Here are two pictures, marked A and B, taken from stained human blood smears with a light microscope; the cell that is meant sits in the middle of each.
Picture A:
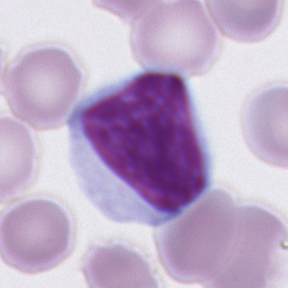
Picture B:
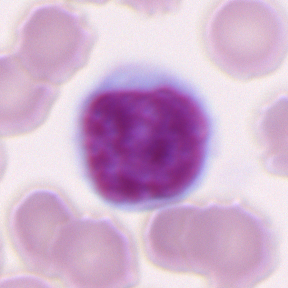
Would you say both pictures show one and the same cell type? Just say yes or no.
yes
